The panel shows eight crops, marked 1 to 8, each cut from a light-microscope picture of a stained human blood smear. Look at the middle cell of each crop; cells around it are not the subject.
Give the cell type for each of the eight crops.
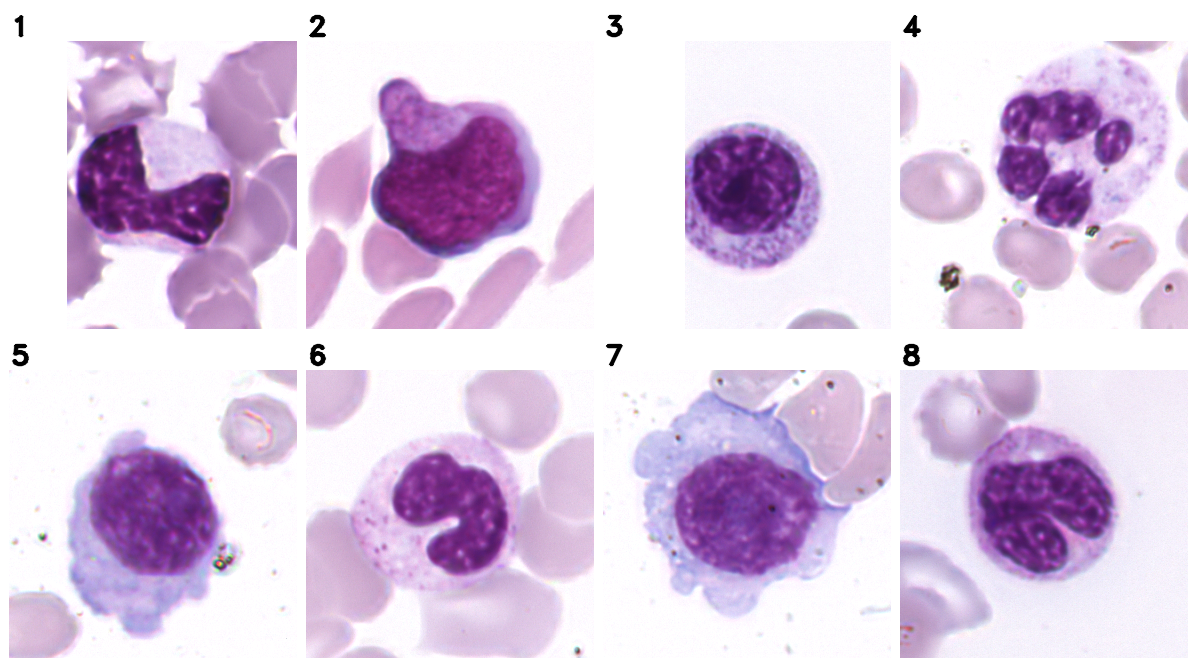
1: band neutrophil
2: atypical promyelocyte
3: metamyelocyte
4: segmented neutrophil
5: plasma cell
6: band neutrophil
7: plasma cell
8: band neutrophil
